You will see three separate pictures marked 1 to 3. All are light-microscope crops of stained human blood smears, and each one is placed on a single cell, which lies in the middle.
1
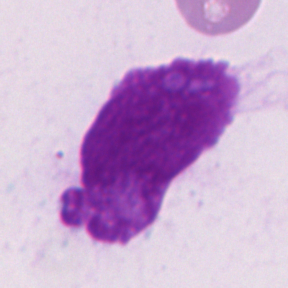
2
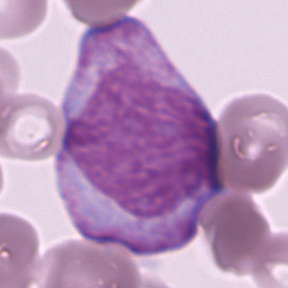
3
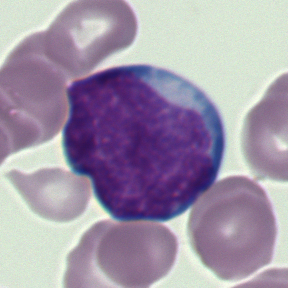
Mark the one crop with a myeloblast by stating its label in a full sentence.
Crop 3 is the crop featuring a myeloblast at its center.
